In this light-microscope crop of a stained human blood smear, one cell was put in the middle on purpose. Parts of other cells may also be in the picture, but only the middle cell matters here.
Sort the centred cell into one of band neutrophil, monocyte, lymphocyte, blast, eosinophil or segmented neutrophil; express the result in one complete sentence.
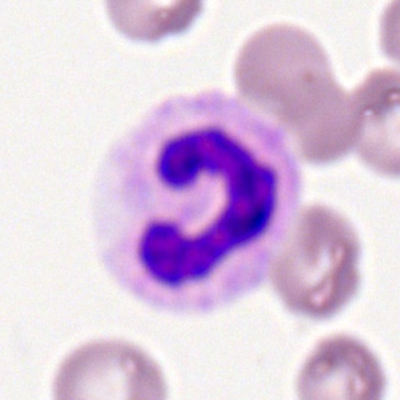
Regarding the central cell, it is a band neutrophil.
